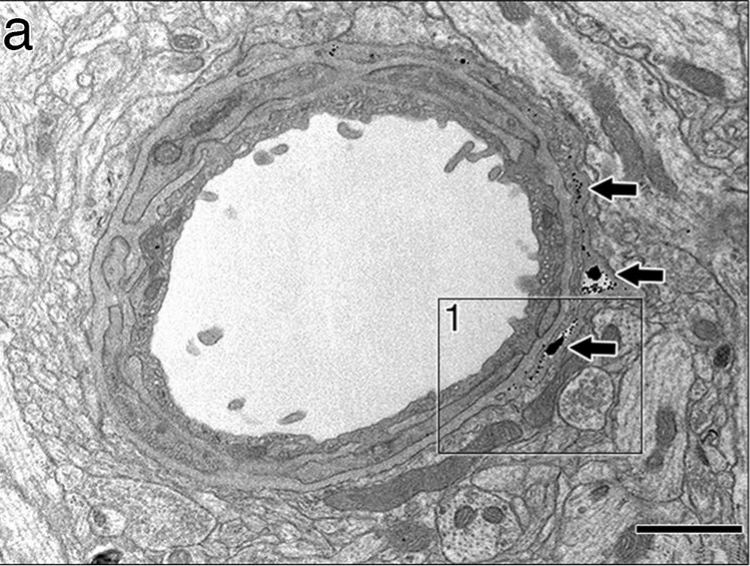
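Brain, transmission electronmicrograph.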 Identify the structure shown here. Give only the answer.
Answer: Artery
